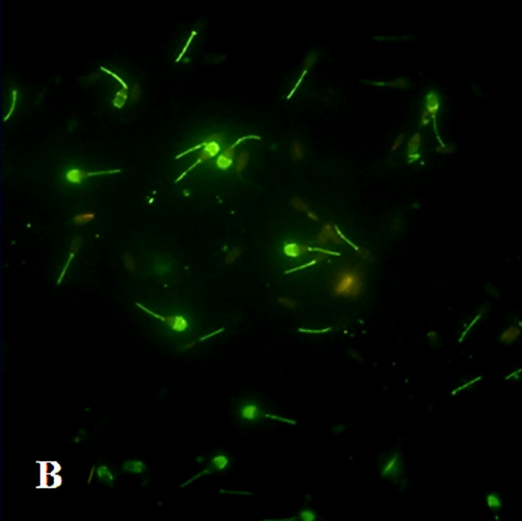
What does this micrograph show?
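These are spermatozoa lying free and scattered on a dark background, seen by green fluorescence. In several cells the head is bright green, sometimes with a brighter rim or a bright spot at the base of the tail, while in others only the tail shines clearly and the head is faint. A few heads show a dull orange tint. Some free tail fragments and small bright specks lie between the cells. The cells do not touch one another in any orderly arrangement.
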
